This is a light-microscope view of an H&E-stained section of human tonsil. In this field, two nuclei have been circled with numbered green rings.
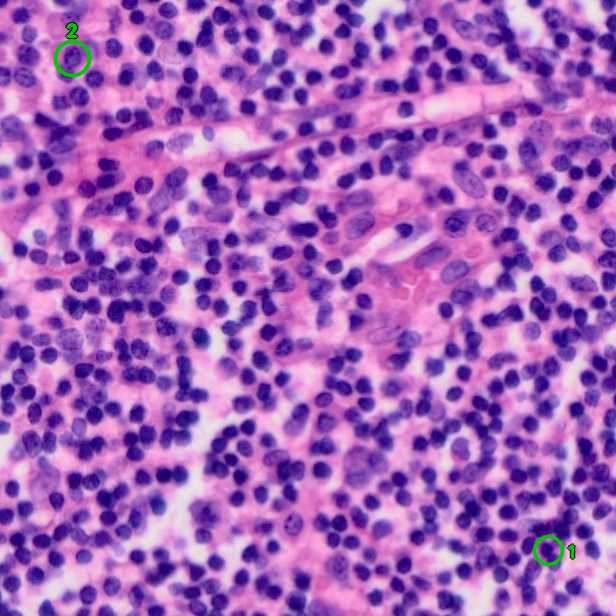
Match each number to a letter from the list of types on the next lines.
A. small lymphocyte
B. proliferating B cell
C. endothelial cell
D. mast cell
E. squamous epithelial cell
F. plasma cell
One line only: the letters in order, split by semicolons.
A; F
